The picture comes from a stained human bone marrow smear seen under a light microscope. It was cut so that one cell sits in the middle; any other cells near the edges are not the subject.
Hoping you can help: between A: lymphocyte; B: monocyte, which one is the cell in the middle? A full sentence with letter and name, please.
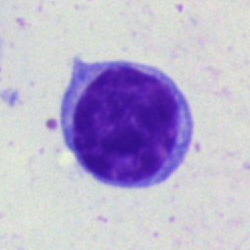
Option A is correct in that the central cell is a lymphocyte.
